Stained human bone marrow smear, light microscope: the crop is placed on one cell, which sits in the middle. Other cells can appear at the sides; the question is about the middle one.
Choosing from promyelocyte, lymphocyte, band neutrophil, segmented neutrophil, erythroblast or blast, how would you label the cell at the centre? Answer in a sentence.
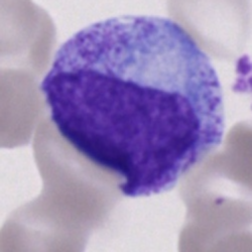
What the crop centres on is a promyelocyte.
